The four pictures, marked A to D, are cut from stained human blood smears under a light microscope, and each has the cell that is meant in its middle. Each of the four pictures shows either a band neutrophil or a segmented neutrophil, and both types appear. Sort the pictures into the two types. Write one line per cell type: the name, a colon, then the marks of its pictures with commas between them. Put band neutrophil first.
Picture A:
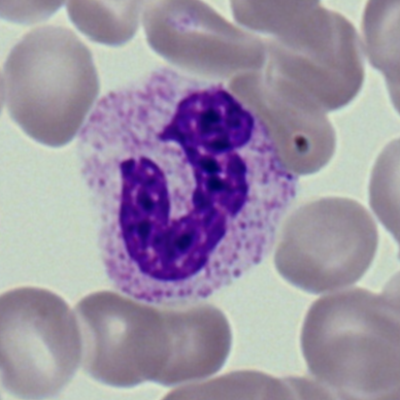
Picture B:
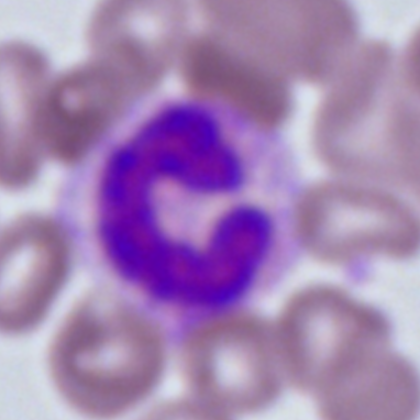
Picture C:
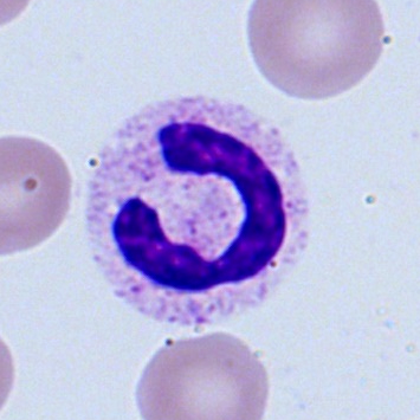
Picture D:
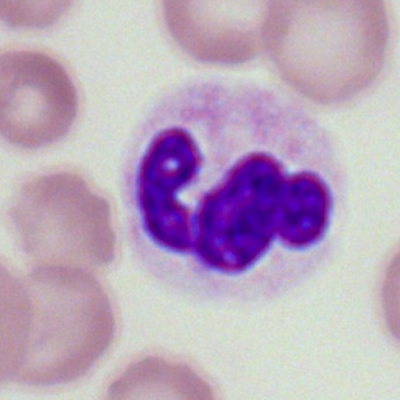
band neutrophil: A, B, C
segmented neutrophil: D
